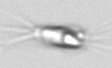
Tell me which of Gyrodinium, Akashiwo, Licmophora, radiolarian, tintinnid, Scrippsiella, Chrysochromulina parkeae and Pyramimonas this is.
The picture shows Chrysochromulina parkeae.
